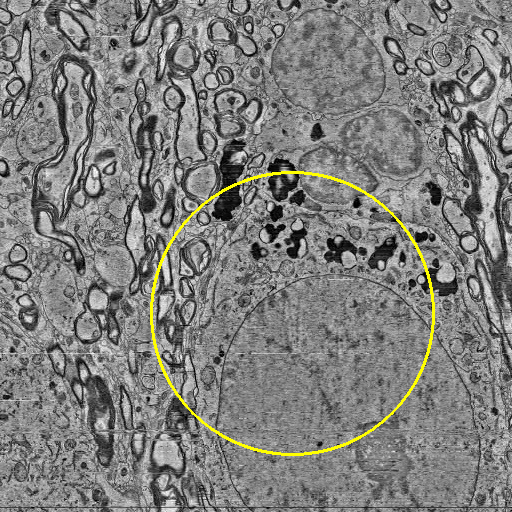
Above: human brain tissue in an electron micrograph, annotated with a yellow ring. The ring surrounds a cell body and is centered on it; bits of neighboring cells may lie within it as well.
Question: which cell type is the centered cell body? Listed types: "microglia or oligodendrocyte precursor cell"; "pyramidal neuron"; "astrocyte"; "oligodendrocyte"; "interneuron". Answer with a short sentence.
The centered cell body is a pyramidal neuron.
